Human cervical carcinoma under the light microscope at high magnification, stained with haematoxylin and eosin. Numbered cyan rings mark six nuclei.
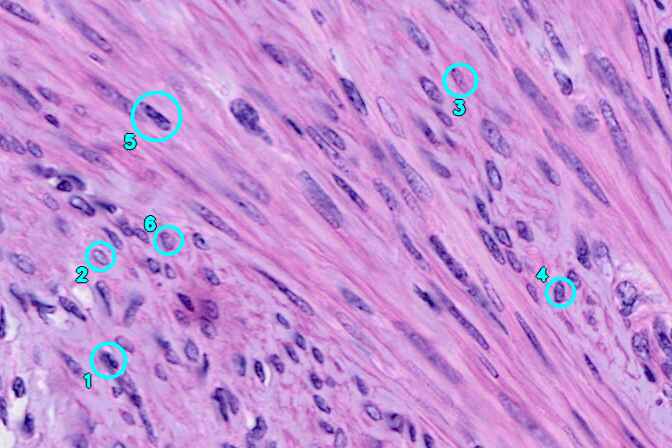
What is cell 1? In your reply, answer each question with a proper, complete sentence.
Among the marked nuclei, number 1 belongs to a lymphocyte.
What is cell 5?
The identity of cell 5 is that of a lymphocyte.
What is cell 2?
In this section, the cell numbered 2 is a smooth muscle cell.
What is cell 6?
The cell carrying label 6 is identified as a smooth muscle cell.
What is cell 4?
Cell 4, among those numbered, is a smooth muscle cell.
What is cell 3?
Classified as a smooth muscle cell is the cell with the number 3.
